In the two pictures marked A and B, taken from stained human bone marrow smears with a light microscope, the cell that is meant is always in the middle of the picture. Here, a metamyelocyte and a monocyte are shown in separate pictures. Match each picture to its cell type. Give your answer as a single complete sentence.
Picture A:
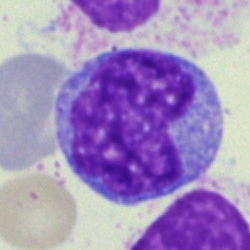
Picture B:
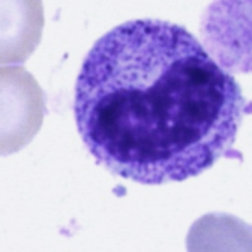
Picture B shows a metamyelocyte, while picture A shows a monocyte.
